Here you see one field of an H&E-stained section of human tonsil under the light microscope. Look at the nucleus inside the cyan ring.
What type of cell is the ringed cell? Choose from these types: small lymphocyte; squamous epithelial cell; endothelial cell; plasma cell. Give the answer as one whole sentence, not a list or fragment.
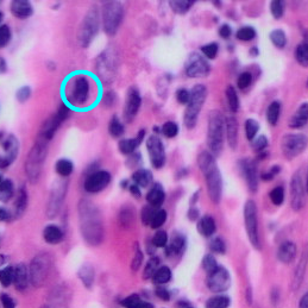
Within the stained tissue, the ringed cell is an endothelial cell.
